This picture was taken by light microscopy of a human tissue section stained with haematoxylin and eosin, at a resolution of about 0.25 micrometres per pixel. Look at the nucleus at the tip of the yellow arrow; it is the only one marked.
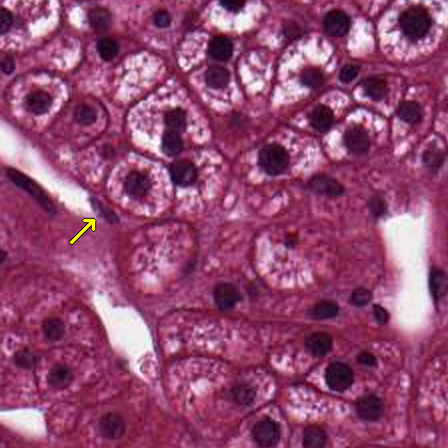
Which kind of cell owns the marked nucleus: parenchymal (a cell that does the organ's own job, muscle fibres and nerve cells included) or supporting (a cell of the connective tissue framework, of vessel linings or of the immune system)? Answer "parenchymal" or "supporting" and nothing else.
supporting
